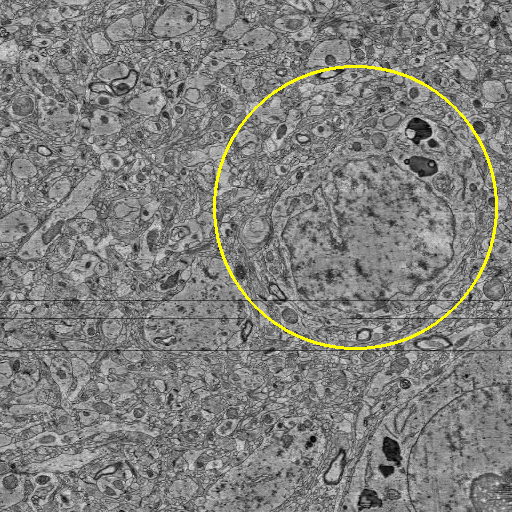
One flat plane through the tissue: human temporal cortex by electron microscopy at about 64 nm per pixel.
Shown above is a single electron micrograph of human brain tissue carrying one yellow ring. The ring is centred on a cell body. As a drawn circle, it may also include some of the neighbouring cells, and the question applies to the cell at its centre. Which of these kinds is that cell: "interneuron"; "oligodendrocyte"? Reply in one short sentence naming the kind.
The cell marked by the ring is an interneuron.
